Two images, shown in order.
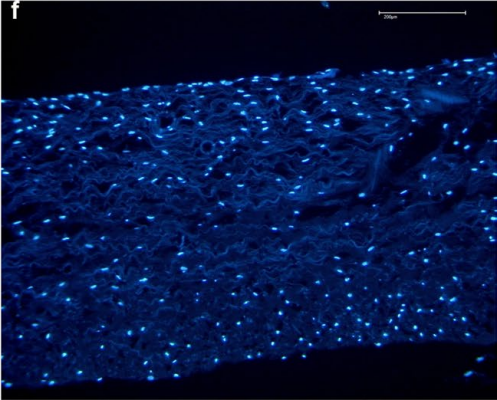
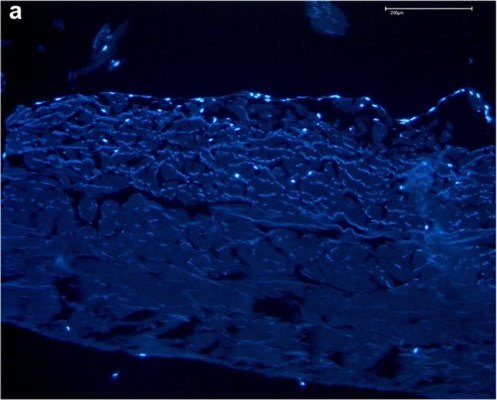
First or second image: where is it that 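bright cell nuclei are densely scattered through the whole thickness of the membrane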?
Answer: the first image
